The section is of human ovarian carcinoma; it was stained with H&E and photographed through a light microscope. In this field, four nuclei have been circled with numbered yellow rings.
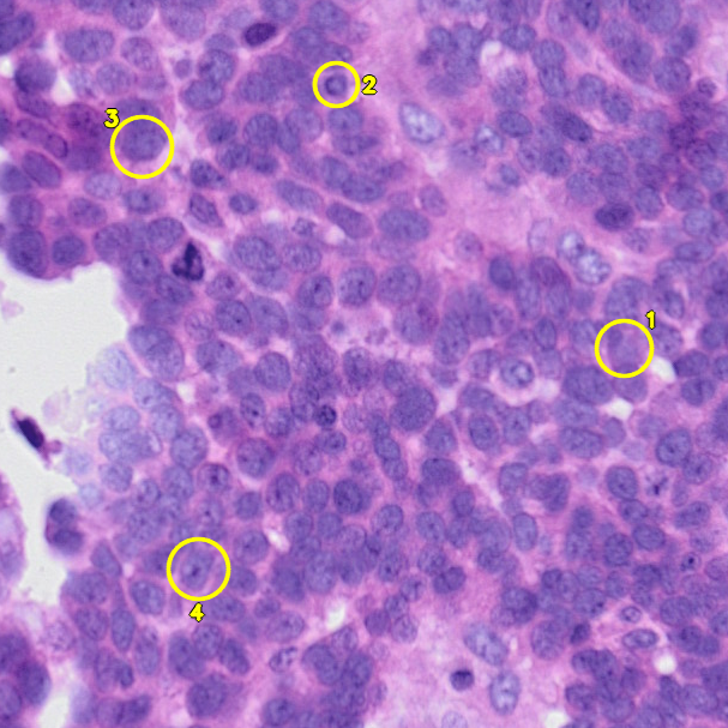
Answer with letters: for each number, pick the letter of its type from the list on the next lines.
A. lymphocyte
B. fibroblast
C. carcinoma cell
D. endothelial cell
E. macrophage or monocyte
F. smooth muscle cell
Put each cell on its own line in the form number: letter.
1: C
2: E
3: C
4: C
